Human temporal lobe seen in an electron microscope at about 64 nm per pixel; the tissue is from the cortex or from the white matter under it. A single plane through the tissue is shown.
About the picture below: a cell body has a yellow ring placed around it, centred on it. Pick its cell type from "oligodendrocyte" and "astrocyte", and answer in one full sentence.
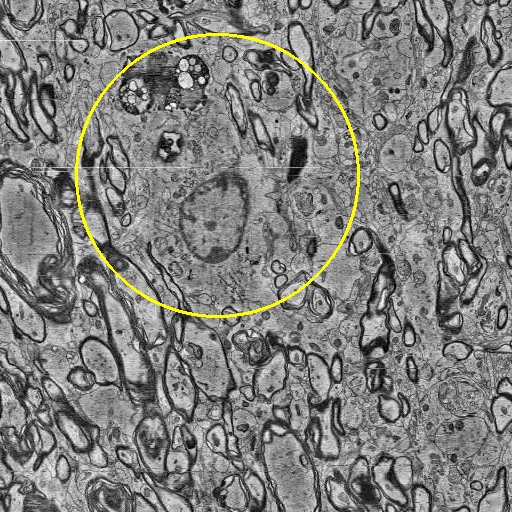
In the picture, an astrocyte is the cell sitting at the centre of the yellow ring.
